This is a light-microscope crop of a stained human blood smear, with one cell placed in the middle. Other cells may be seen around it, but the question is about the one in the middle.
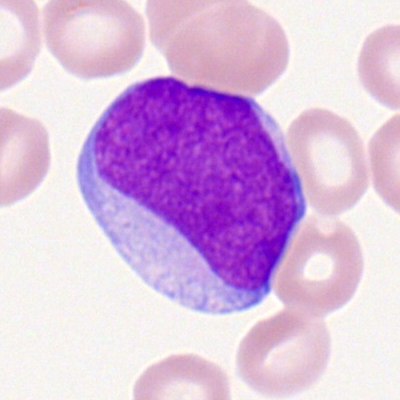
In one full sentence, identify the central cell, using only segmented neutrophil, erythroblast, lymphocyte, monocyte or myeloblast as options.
The identification for the central cell is a myeloblast.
